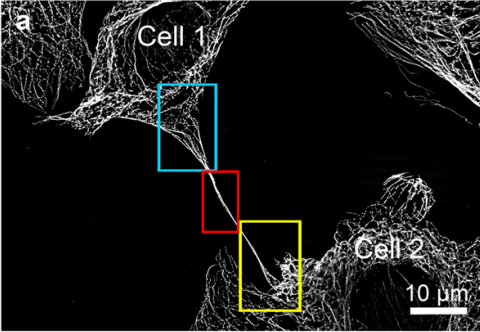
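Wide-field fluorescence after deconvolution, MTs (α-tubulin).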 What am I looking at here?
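A single thin strand runs diagonally between them. Near the upper cell the filaments of its network gather and narrow into this strand, framed in blue. In the middle, framed in red, the strand is a lone narrow thread crossing empty space. Where it reaches the lower cell, framed in yellow, it meets that cell's filament network again. The cells' filaments form a dense, branching mesh, brighter and more tangled toward the cell bodies.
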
